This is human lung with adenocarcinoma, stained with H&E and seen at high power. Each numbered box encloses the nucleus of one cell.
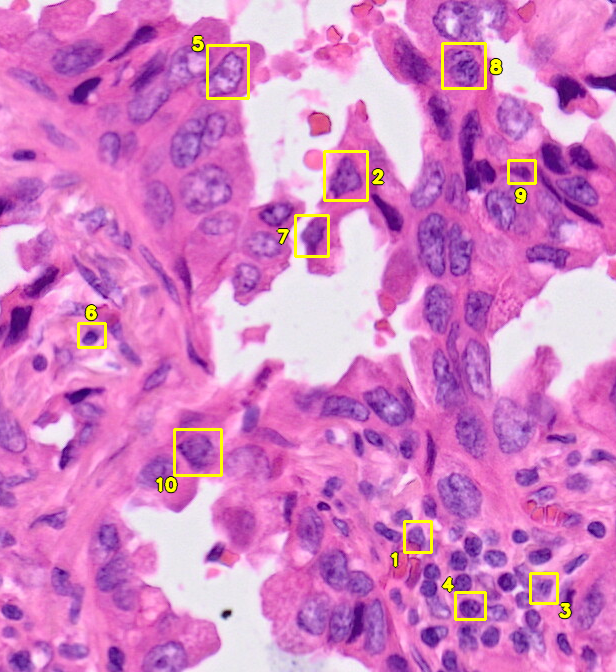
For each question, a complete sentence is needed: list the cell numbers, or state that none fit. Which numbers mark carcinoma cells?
Cells 2, 5, 7, 8, 9 and 10 are carcinoma cells by cell type.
